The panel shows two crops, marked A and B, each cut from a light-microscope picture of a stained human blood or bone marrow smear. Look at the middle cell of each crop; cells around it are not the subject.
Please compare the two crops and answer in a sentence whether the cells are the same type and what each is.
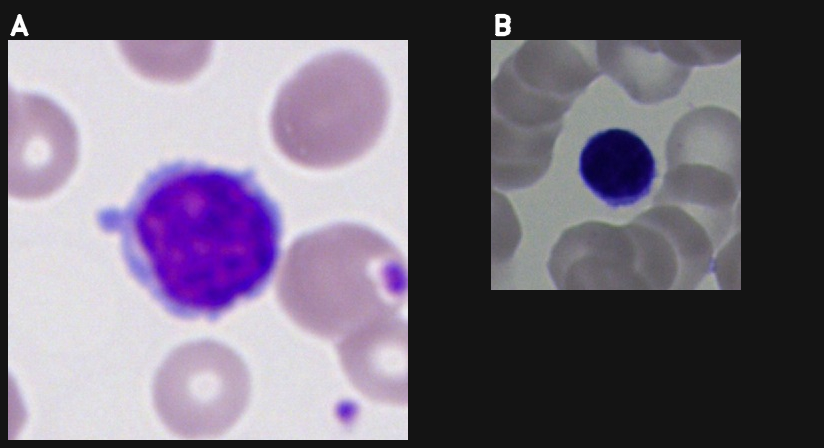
Yes, the cells placed at the centre of both crops are lymphocytes.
